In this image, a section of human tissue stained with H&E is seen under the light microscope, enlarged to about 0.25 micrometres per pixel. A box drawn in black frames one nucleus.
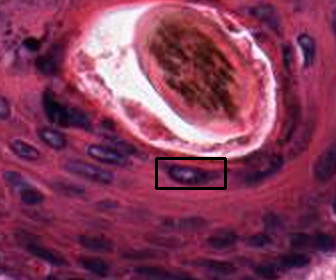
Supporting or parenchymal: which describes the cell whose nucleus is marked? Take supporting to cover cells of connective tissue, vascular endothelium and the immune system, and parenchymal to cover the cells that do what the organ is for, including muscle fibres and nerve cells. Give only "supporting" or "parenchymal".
parenchymal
